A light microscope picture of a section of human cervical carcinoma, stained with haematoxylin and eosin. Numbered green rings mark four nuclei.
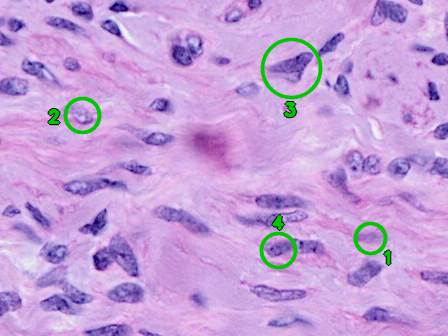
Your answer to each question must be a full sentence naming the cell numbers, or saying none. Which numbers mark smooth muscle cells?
The cells tagged 1, 2 and 4 are smooth muscle cells in this tissue section.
